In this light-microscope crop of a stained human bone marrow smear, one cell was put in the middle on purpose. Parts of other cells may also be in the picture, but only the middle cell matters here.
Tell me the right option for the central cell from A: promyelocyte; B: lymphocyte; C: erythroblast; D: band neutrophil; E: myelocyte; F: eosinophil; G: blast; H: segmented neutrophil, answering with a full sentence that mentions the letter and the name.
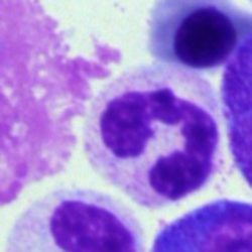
Option H is right in identifying the central cell as a segmented neutrophil.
